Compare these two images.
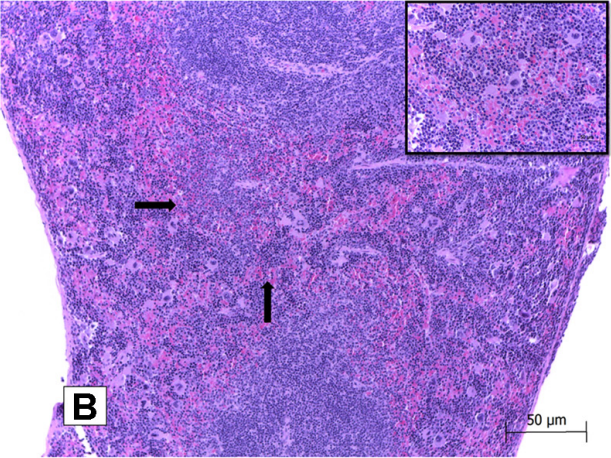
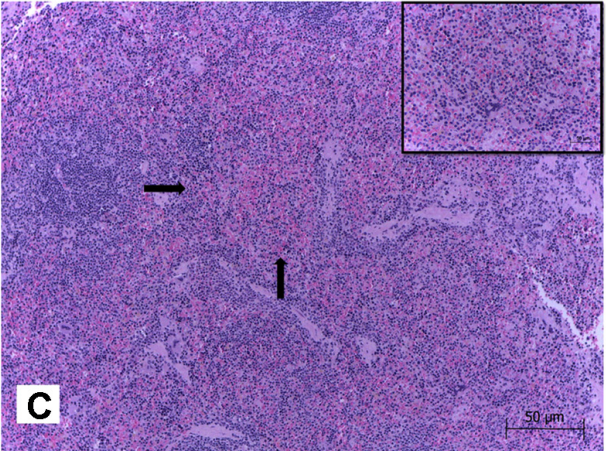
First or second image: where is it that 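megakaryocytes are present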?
the first image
